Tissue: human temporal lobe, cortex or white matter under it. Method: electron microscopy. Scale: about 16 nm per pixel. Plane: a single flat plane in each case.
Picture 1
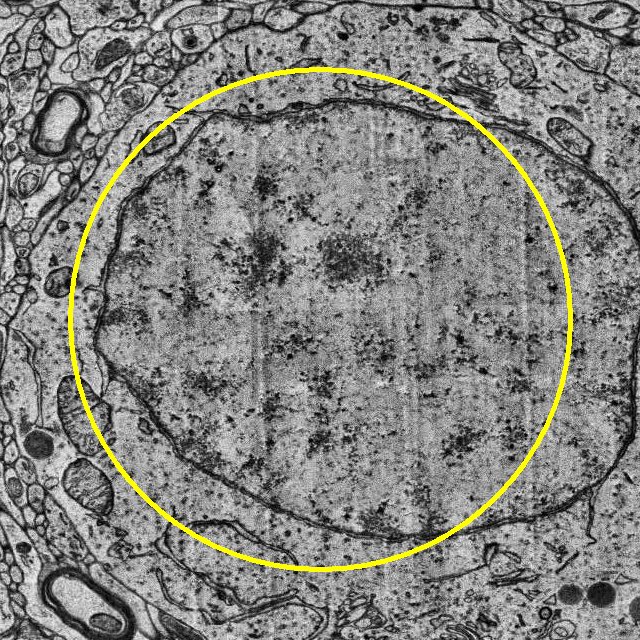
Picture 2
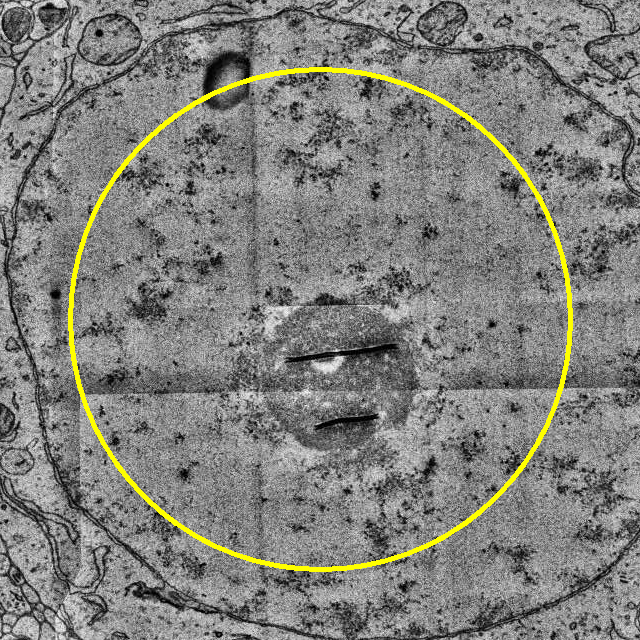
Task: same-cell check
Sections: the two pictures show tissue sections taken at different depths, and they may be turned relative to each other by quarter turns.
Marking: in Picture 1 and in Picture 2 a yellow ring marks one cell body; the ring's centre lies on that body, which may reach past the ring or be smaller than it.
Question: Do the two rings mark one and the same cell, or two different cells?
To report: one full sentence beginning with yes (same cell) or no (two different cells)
Yes, the two marked outlines come from one and the same cell.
